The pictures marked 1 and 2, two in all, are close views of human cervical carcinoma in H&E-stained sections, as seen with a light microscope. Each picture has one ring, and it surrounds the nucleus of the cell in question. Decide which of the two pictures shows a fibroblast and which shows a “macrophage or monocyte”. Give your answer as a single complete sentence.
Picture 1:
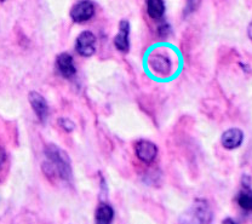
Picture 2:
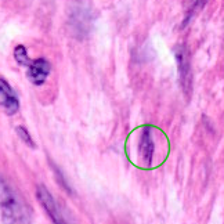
Picture 2 shows a fibroblast, while picture 1 shows a “macrophage or monocyte”.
